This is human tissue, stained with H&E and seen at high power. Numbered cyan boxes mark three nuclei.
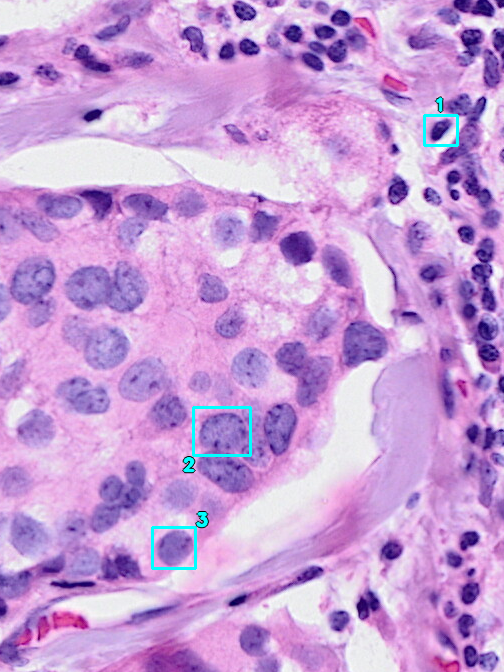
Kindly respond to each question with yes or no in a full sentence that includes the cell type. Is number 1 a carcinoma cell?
No, a carcinoma cell is not what cell 1 is; it is a lymphocyte.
